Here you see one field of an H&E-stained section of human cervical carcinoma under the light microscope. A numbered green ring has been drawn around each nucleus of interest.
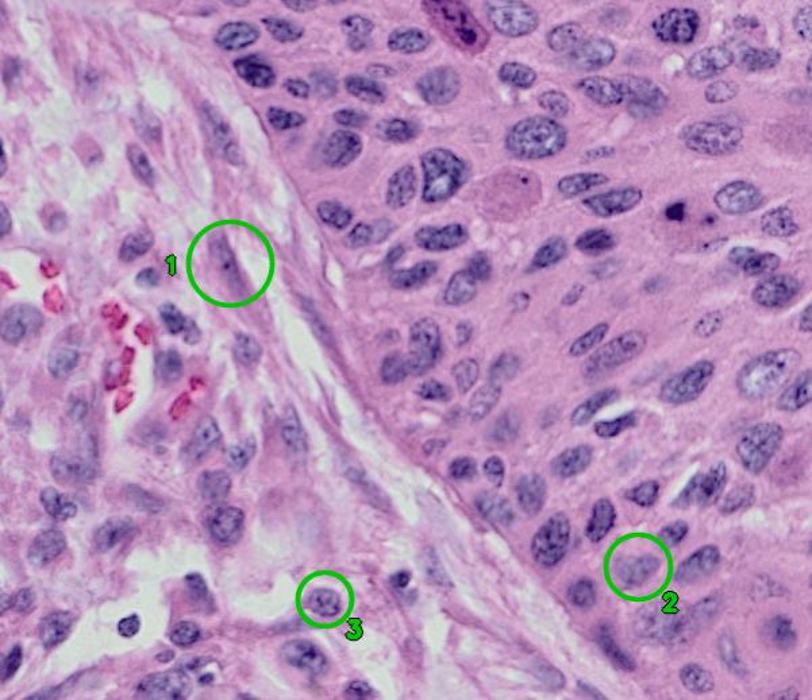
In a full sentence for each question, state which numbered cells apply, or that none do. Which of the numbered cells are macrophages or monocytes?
Cell 3 is a macrophage or monocyte and is the only numbered cell of that kind.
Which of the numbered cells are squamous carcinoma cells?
Of the cells marked with numbers, cell 2 is the only one that is a squamous carcinoma cell.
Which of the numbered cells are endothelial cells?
Any endothelial cells present in the section are not among the numbered cells.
